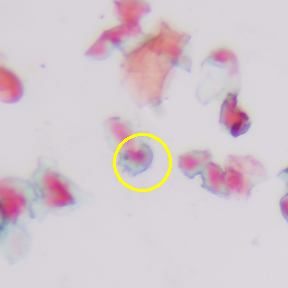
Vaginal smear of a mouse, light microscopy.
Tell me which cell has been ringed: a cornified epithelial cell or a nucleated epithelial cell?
It is a nucleated epithelial cell.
